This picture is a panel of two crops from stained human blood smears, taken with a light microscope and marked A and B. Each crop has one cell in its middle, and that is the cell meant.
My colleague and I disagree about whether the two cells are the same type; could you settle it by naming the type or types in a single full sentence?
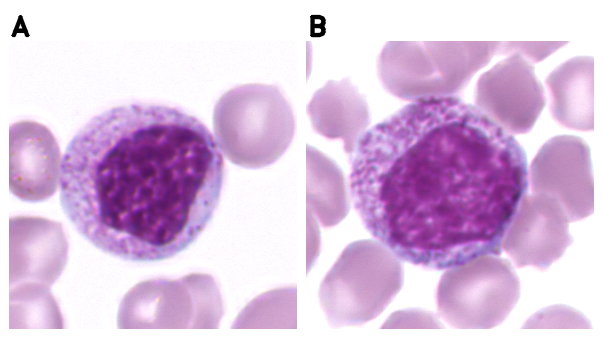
No, enter a metamyelocyte for crop A and a myelocyte for crop B.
